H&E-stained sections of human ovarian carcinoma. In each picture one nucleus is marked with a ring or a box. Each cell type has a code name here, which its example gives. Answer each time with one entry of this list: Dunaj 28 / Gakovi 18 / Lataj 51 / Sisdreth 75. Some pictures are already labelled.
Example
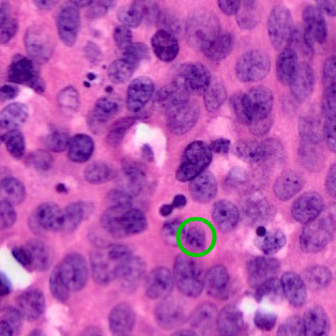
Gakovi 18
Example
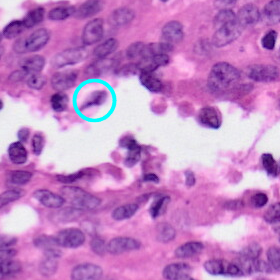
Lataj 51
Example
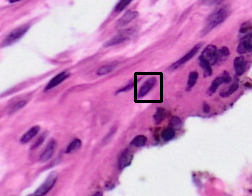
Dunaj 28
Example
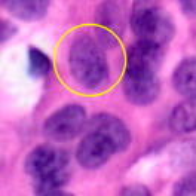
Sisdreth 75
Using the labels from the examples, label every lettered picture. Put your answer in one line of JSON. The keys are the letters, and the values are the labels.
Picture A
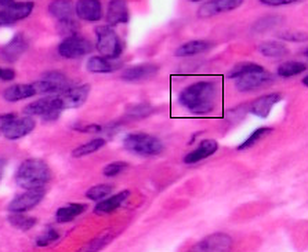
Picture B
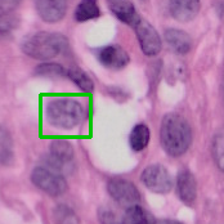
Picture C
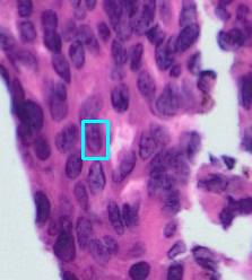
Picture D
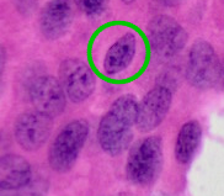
{"A": "Lataj 51", "B": "Lataj 51", "C": "Sisdreth 75", "D": "Lataj 51"}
